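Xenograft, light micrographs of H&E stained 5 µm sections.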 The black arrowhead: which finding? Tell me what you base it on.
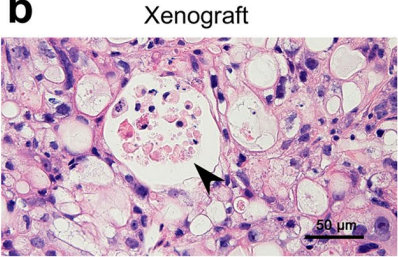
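Vacuole formation enclosing necrotic cell debris. The arrowhead points to a large round clear space in the tissue. The clear space contains fragmented pink and purple material. Small dark nuclear fragments lie inside the clear space.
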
